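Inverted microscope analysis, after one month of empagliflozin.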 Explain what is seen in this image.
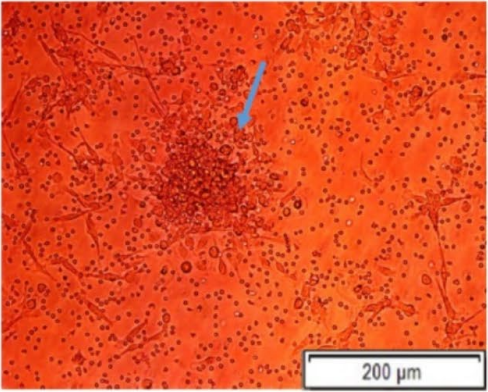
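From the margin of the cluster, elongated spindle-shaped cells extend outward in a loose radiating pattern. The rest of the field holds many small, round, refractile single cells scattered over the dish, with occasional spindle cells among them.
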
